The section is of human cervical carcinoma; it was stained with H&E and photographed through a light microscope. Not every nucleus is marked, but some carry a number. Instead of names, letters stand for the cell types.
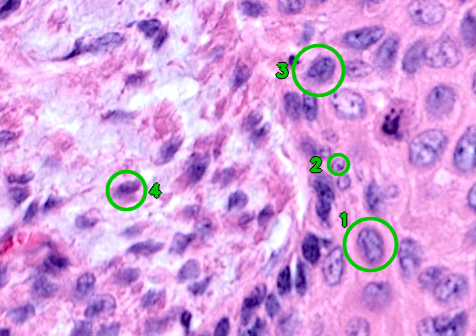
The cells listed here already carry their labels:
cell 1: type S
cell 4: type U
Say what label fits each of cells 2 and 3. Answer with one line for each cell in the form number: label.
2: type S
3: type S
